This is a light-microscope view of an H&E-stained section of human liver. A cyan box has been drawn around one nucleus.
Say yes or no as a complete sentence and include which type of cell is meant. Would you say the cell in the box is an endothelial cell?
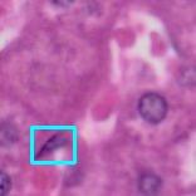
Yes, the cell in the box is recognized as an endothelial cell in this section.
